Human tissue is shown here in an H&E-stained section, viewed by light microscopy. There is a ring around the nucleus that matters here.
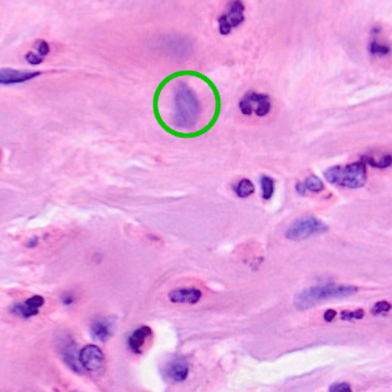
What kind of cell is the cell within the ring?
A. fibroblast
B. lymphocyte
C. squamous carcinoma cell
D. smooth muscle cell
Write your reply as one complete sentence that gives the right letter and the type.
Since the cell within the ring is a fibroblast, option A is correct.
